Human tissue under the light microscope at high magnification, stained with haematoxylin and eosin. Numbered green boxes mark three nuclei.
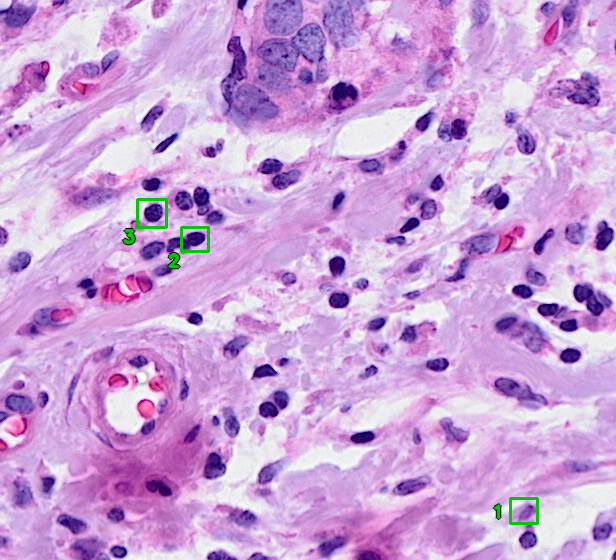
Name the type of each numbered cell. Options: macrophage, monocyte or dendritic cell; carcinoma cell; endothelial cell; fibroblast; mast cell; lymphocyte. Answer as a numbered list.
1. fibroblast
2. lymphocyte
3. lymphocyte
